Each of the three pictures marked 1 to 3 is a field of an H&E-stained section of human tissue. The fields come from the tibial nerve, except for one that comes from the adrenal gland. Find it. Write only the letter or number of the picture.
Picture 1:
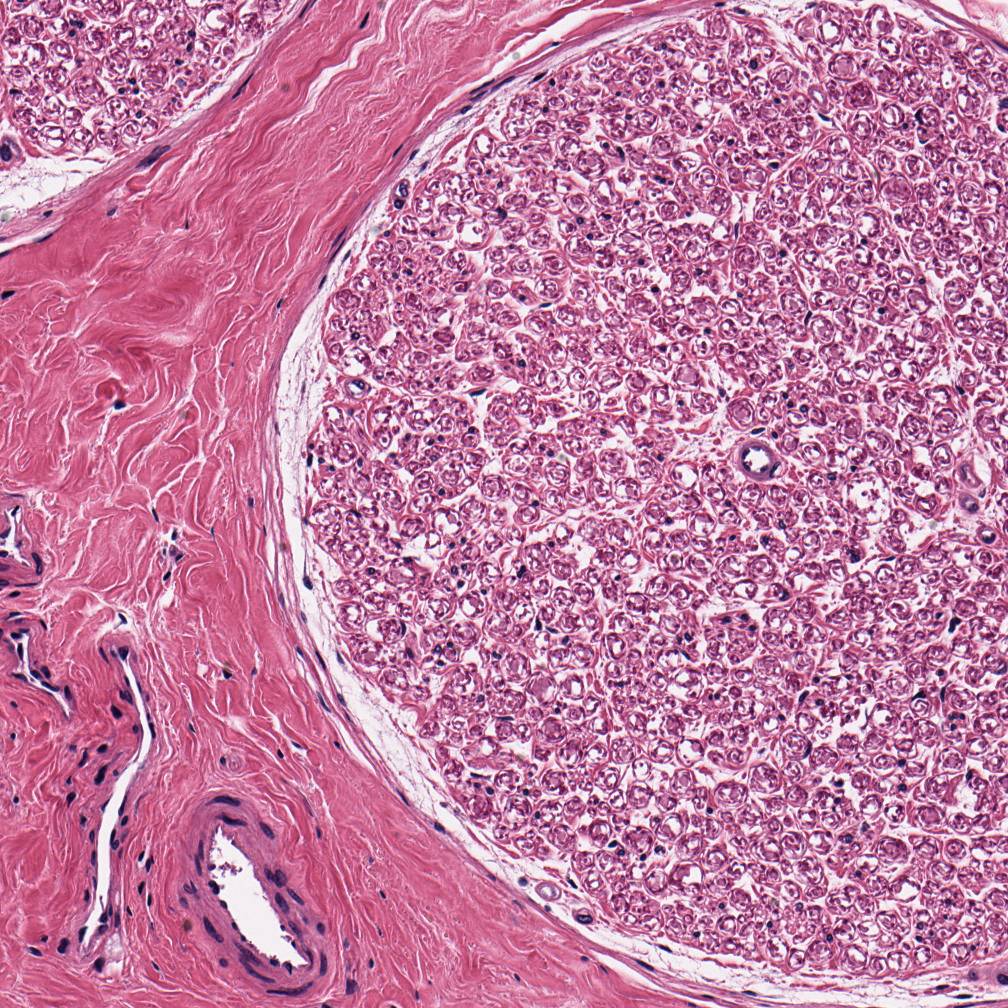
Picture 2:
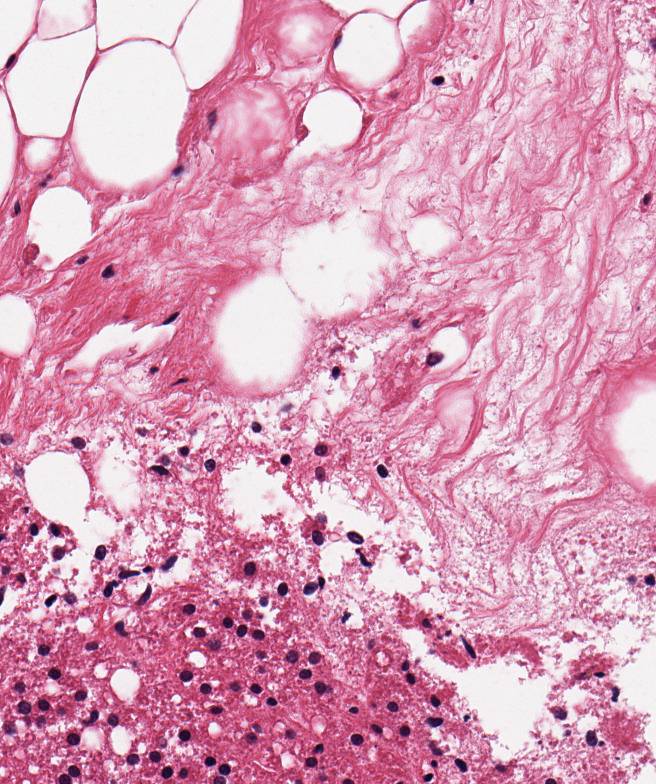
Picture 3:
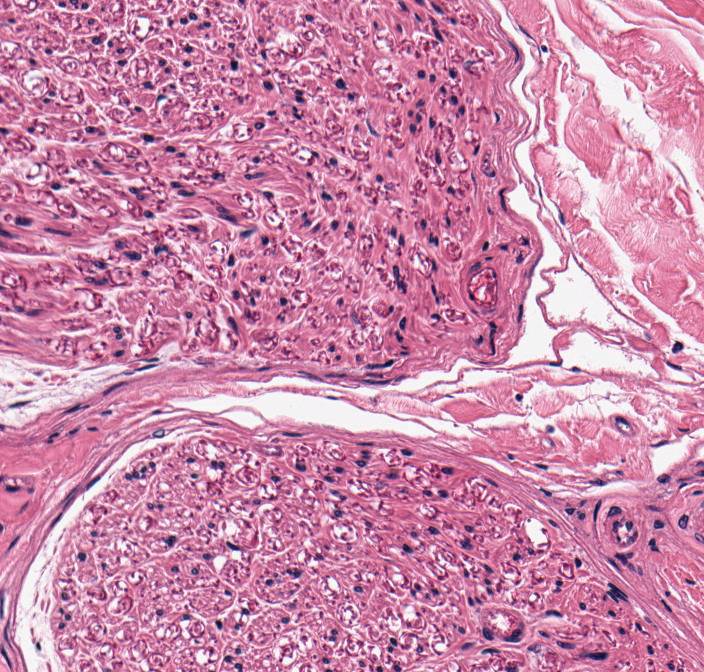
2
